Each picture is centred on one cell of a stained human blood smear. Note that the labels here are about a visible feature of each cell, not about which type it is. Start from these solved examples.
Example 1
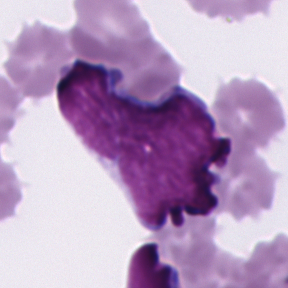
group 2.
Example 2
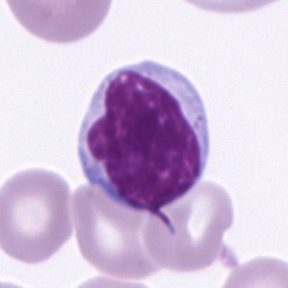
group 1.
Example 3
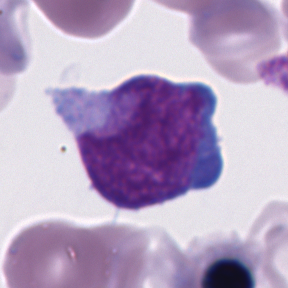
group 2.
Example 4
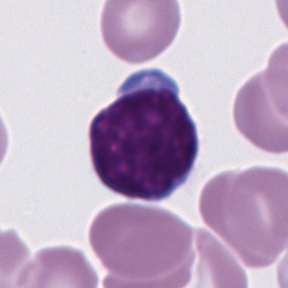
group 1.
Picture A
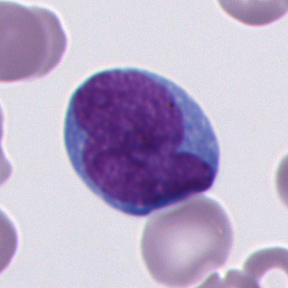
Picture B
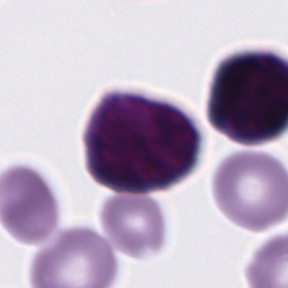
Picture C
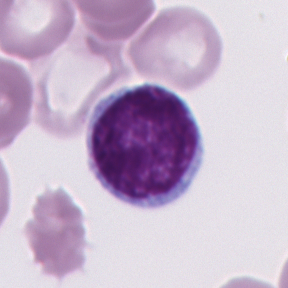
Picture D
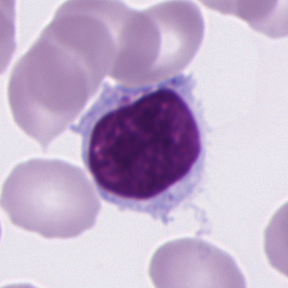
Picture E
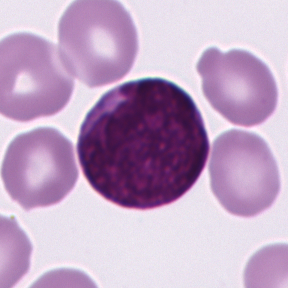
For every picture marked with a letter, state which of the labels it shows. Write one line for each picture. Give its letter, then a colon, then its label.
A: group 1.
B: group 1.
C: group 1.
D: group 2.
E: group 1.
